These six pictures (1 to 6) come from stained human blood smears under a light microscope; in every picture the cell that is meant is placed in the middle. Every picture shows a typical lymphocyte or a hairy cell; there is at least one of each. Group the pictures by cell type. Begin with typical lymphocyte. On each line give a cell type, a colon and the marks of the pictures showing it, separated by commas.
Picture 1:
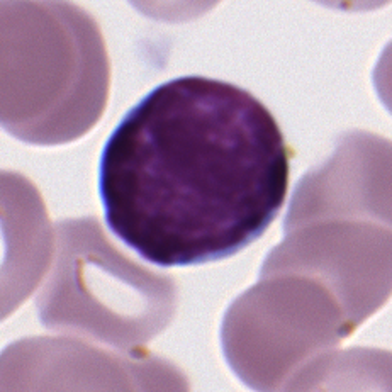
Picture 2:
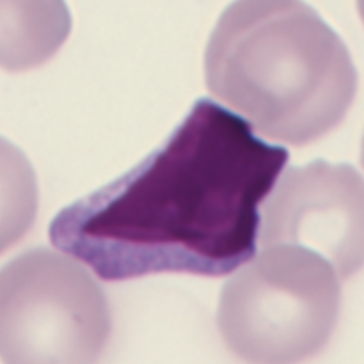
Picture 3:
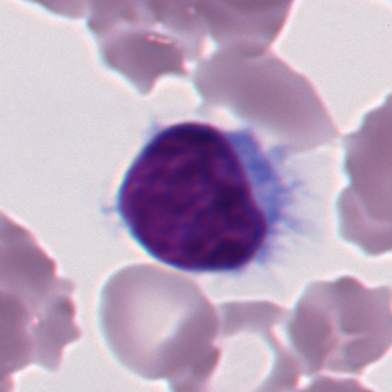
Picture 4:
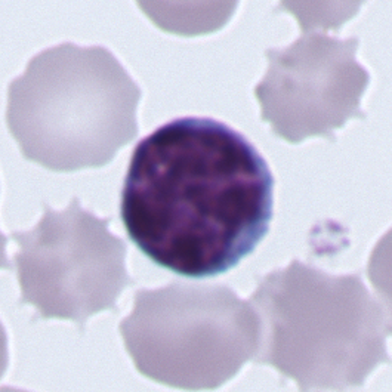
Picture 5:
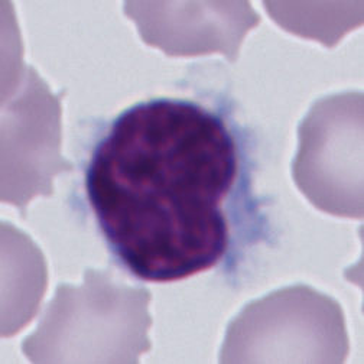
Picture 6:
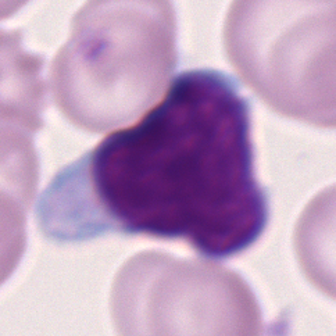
typical lymphocyte: 1, 2, 4, 6
hairy cell: 3, 5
